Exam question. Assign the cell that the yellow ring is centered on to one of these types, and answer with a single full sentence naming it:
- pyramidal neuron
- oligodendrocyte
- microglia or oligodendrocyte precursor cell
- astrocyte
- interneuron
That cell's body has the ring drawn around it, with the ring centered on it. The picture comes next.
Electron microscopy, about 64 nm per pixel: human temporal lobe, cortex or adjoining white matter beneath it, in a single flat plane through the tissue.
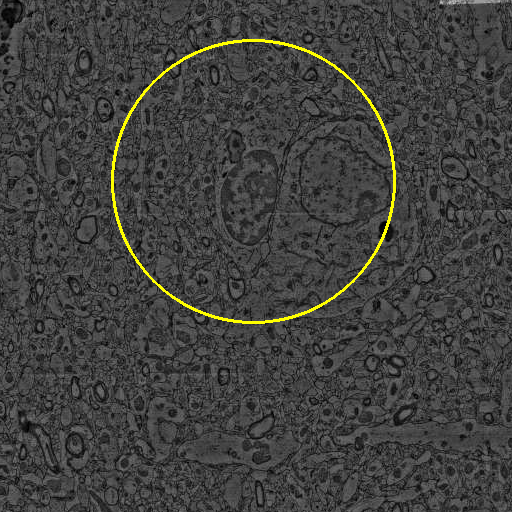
In the micrograph, the cell the yellow ring is centered on is a microglial cell or oligodendrocyte precursor cell.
